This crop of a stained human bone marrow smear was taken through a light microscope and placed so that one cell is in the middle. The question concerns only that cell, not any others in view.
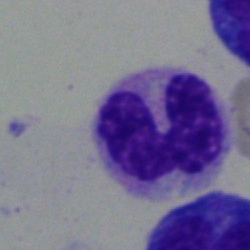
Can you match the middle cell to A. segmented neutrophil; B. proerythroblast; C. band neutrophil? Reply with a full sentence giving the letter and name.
Option C is the right one, for the cell in the middle is a band neutrophil.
